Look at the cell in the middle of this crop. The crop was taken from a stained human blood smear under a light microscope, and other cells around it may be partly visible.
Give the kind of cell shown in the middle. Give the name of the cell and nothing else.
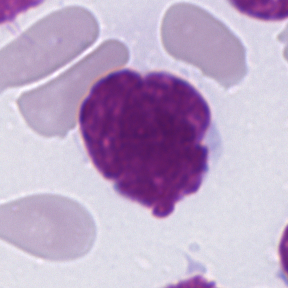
myeloblast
